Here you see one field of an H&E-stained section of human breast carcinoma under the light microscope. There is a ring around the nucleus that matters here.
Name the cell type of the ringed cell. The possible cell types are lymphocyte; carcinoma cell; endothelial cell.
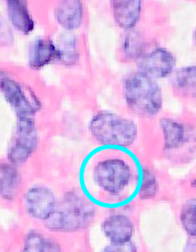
carcinoma cell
